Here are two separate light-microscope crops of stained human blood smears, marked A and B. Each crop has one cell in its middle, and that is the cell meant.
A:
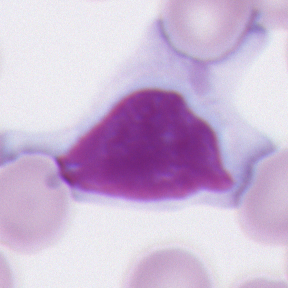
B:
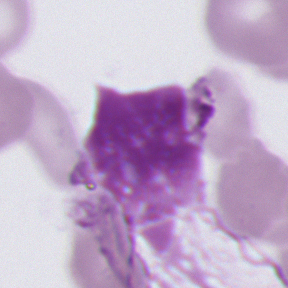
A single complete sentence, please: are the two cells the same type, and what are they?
No, crop A is the one with a typical lymphocyte; crop B has a smudge cell.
